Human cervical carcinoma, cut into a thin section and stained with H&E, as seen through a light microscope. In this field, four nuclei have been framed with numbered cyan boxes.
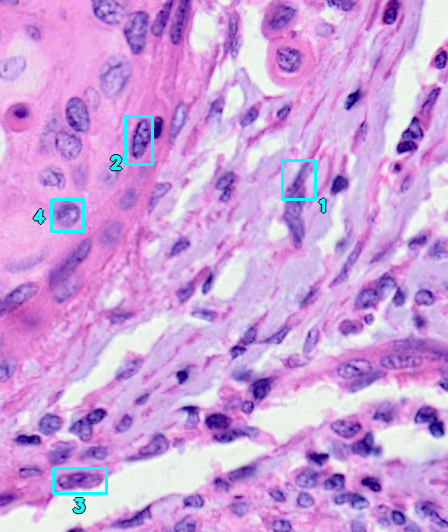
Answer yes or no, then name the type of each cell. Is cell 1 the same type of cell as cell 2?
No, with respect, cell 1 is a fibroblast and cell 2 is a squamous carcinoma cell.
